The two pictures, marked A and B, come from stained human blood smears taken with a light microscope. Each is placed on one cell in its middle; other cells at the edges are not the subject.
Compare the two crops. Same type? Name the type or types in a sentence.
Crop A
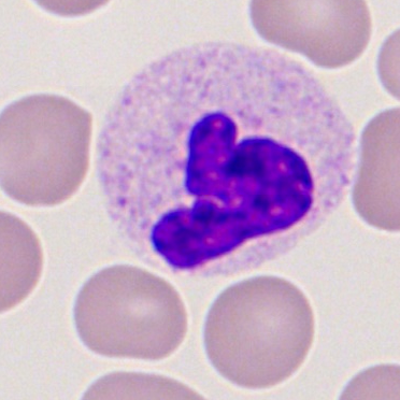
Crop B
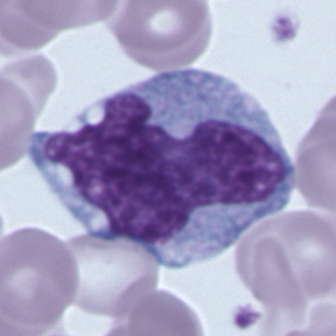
No, it is crop A that shows a segmented neutrophil, and crop B shows a monocyte.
